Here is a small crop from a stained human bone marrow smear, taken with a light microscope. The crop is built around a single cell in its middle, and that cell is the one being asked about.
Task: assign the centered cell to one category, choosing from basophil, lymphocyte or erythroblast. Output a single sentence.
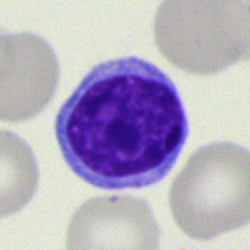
The cell in the exact centre of the crop is a lymphocyte.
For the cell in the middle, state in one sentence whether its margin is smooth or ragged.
If you check the edge, you will find it smooth without projections.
